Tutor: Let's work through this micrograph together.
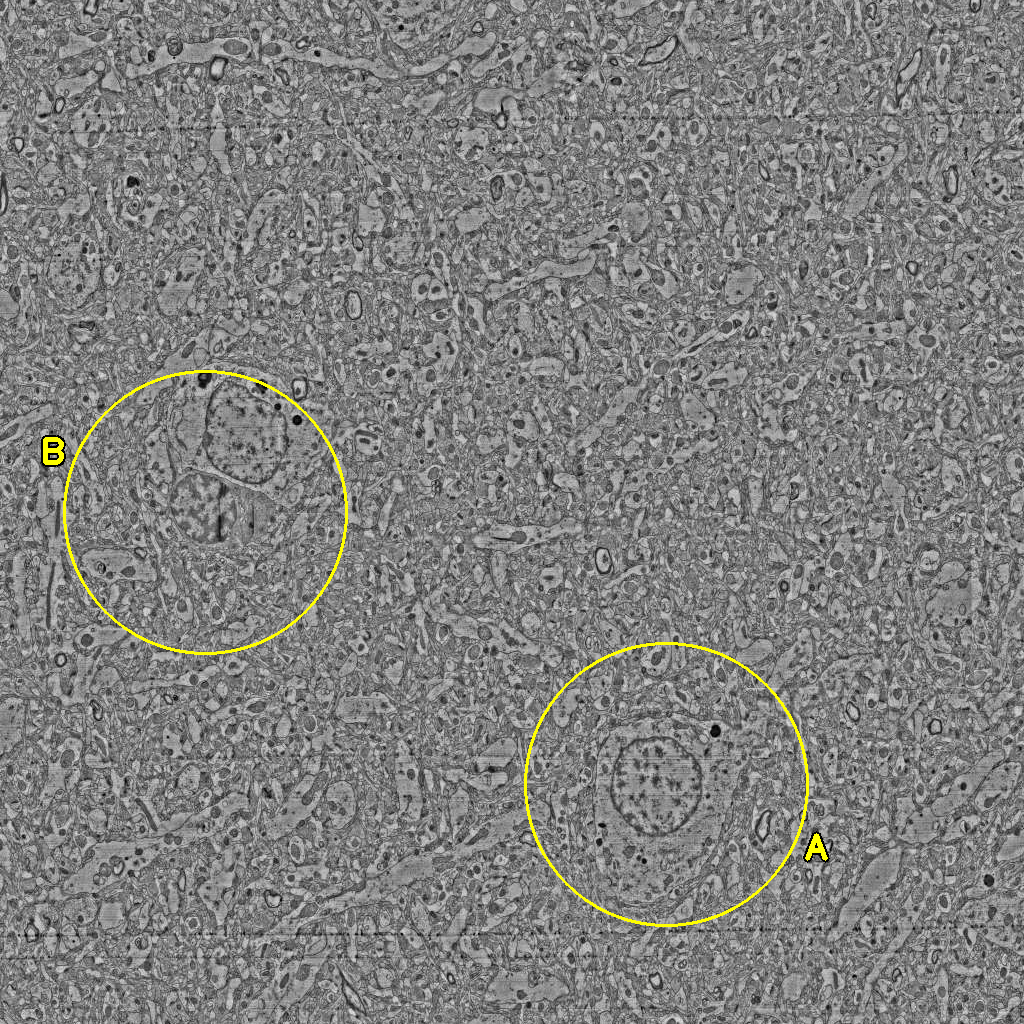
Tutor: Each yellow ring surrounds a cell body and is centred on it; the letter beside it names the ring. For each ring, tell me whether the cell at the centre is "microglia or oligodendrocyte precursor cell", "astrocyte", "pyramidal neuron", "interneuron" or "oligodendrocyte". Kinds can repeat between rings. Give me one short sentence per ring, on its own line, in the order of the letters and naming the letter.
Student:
The ring labelled A is centred on a pyramidal neuron.
The ring labelled B is centred on an oligodendrocyte.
